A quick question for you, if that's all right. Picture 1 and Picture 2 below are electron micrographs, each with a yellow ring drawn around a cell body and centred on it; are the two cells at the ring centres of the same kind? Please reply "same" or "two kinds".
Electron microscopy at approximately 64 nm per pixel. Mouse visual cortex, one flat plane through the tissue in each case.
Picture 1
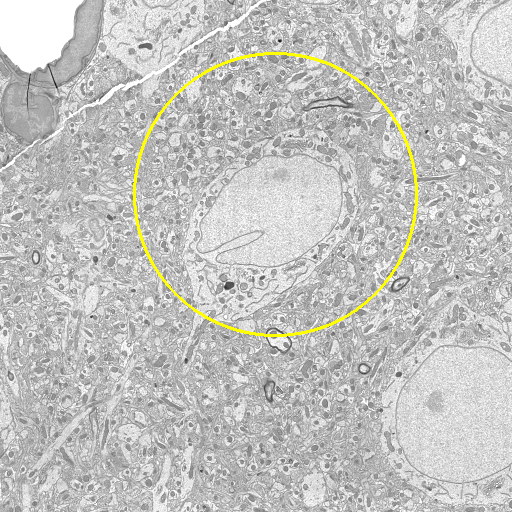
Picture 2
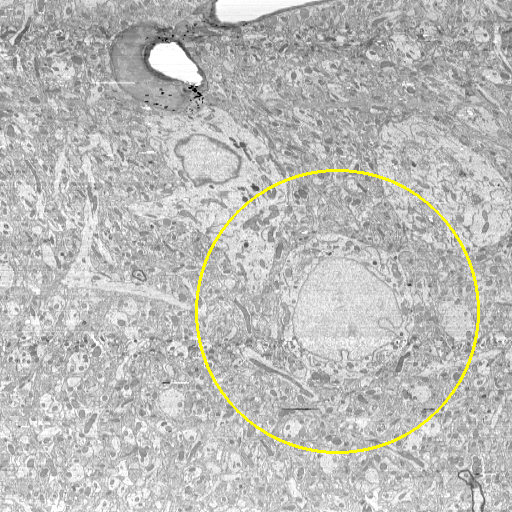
same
